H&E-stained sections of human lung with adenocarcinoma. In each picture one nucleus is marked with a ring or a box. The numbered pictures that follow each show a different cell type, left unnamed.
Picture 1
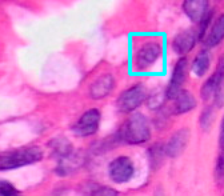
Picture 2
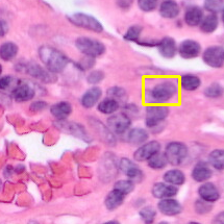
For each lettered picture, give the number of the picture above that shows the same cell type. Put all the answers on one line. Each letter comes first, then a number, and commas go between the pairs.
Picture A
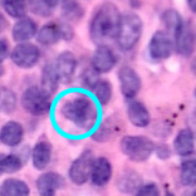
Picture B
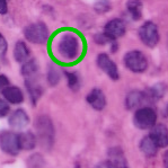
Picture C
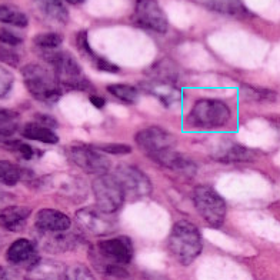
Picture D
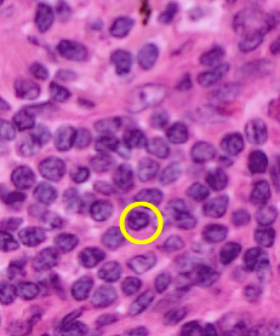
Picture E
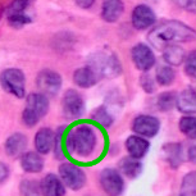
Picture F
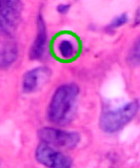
A 2, B 2, C 1, D 2, E 2, F 2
